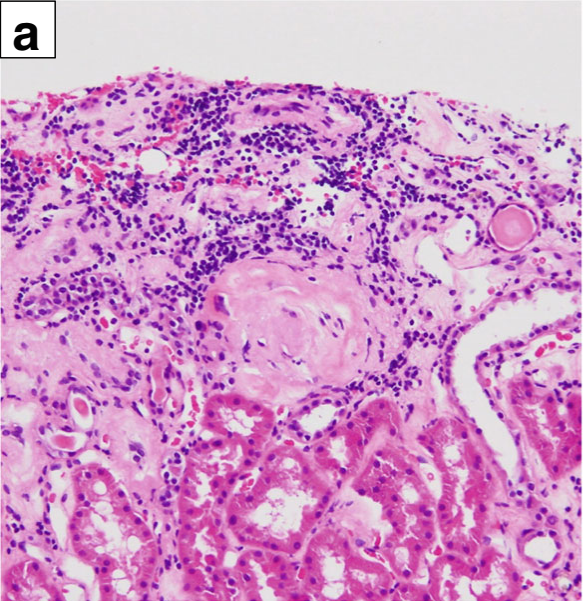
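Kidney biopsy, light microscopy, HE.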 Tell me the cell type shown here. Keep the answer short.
Lymphocytes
